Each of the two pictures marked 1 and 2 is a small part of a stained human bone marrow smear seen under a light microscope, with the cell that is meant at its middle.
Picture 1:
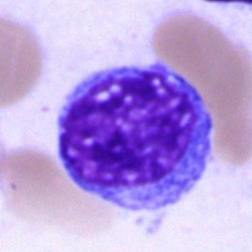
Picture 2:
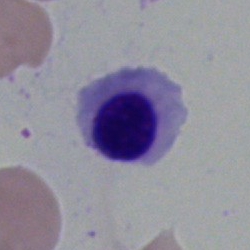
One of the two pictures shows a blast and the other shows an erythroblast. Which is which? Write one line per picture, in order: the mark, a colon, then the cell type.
1: blast
2: erythroblast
